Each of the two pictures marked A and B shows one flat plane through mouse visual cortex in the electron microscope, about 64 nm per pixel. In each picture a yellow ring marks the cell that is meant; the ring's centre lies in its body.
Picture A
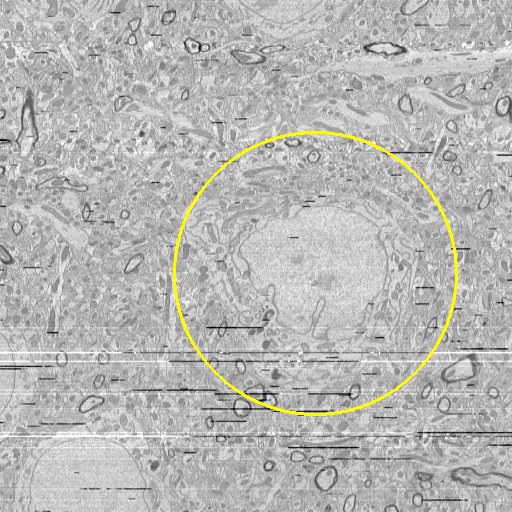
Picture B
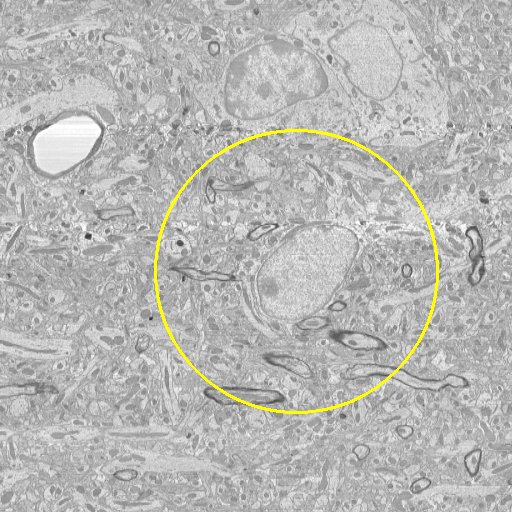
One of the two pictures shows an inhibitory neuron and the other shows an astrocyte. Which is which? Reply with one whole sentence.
Picture A shows an inhibitory neuron and picture B shows an astrocyte.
